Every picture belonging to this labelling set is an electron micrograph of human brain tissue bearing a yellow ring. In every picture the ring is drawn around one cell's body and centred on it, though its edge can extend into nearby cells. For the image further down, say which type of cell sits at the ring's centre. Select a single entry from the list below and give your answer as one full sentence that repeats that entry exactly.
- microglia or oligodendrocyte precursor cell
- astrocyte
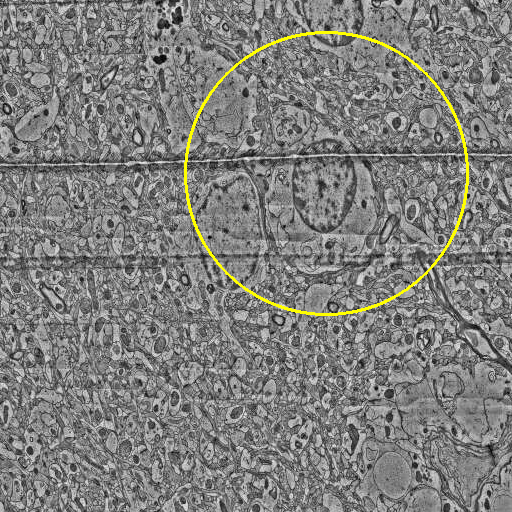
In the picture, an astrocyte is the cell at the centre of the yellow ring.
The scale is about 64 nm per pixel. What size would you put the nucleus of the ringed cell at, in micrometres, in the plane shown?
About 6 by 4 micrometers for the nucleus, in this plane.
